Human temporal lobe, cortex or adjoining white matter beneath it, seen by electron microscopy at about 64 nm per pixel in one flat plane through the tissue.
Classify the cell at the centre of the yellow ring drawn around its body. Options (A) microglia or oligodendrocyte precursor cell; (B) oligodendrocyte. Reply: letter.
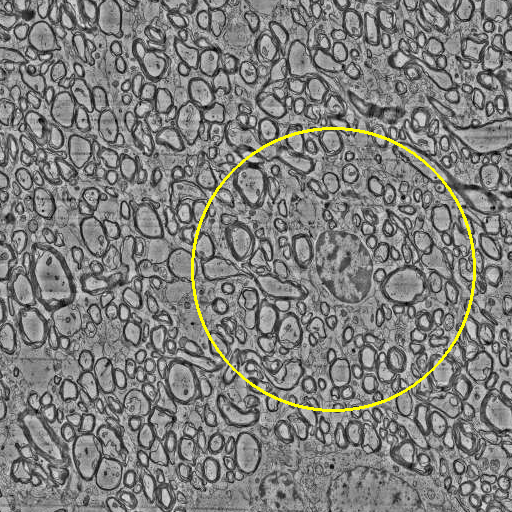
A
